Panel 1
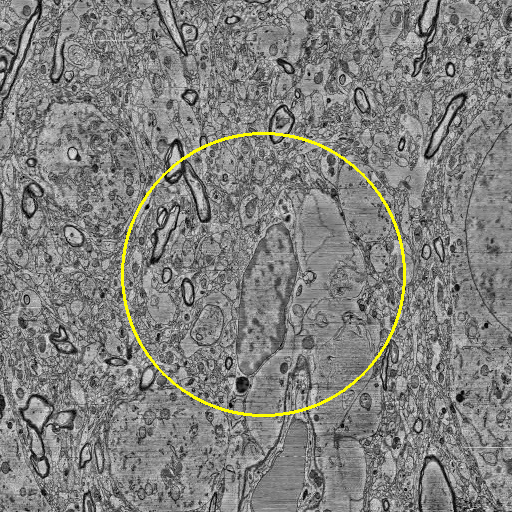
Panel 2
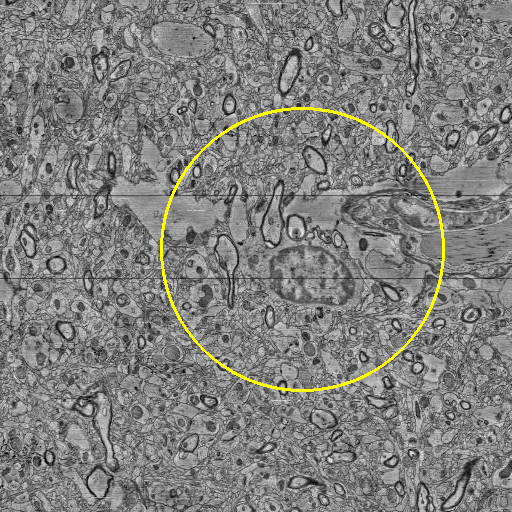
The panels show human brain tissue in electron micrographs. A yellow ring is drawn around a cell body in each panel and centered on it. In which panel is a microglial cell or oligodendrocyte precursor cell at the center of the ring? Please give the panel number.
1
